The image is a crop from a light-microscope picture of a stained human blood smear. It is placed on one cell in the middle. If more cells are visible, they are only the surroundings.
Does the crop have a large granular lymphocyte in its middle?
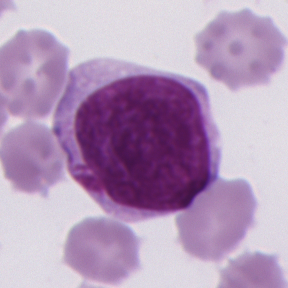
no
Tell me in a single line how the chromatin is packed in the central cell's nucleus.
The chromatin is delicate and fine, lacking coarse clumping entirely.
